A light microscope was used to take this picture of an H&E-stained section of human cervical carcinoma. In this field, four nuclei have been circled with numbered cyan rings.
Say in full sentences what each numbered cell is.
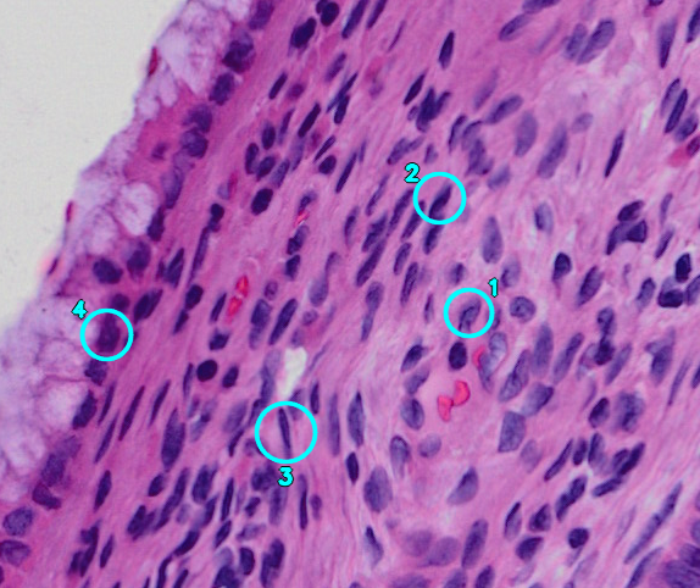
Cell 1 is an endothelial cell. Cells 2 and 3 are fibroblasts. Cell 4 is a secretory epithelial cell.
